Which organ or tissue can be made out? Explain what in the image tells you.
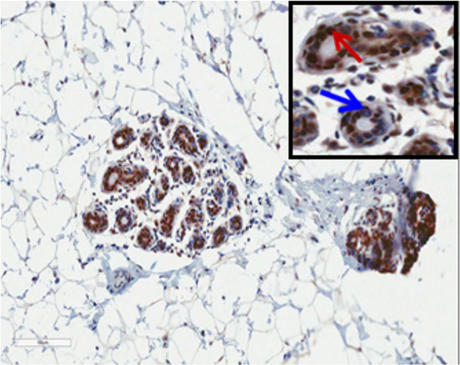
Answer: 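Normal breast. Small lobules of ducts lined by epithelium sit in loose stroma. Much of the field is fat cells with empty clear spaces. Ducts are small with regular rounded outlines.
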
